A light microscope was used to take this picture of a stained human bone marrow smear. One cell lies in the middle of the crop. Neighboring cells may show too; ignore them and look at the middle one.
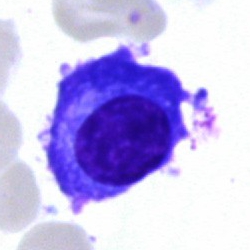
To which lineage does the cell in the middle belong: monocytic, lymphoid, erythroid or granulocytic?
lymphoid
